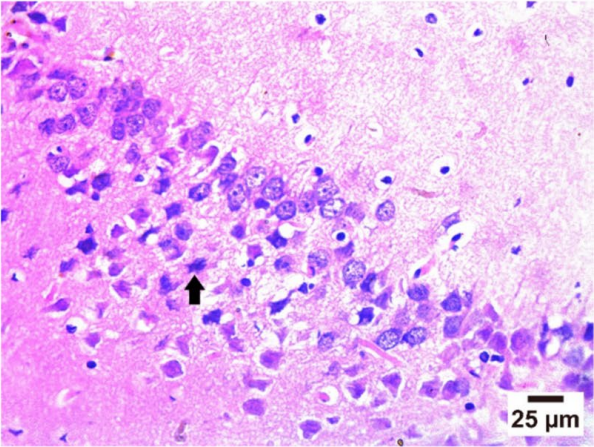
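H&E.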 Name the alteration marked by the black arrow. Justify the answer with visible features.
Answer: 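Degeneration. The marked cell is dark purple and angular. Neighbouring neurons have round pale nuclei.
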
